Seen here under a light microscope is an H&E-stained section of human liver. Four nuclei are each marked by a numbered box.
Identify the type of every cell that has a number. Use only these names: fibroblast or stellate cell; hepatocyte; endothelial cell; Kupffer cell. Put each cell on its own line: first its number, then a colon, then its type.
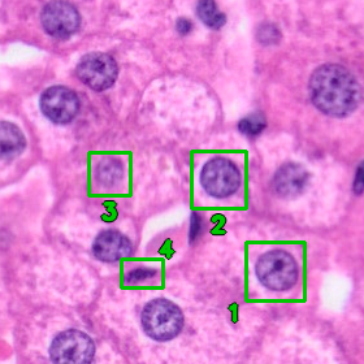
1: hepatocyte
2: hepatocyte
3: hepatocyte
4: fibroblast or stellate cell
